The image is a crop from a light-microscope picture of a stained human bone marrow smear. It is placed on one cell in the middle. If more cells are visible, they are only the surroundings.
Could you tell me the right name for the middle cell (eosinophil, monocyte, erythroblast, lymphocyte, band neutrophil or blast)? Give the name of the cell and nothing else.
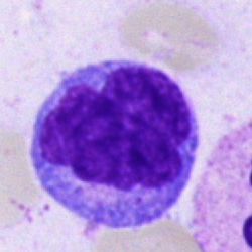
monocyte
